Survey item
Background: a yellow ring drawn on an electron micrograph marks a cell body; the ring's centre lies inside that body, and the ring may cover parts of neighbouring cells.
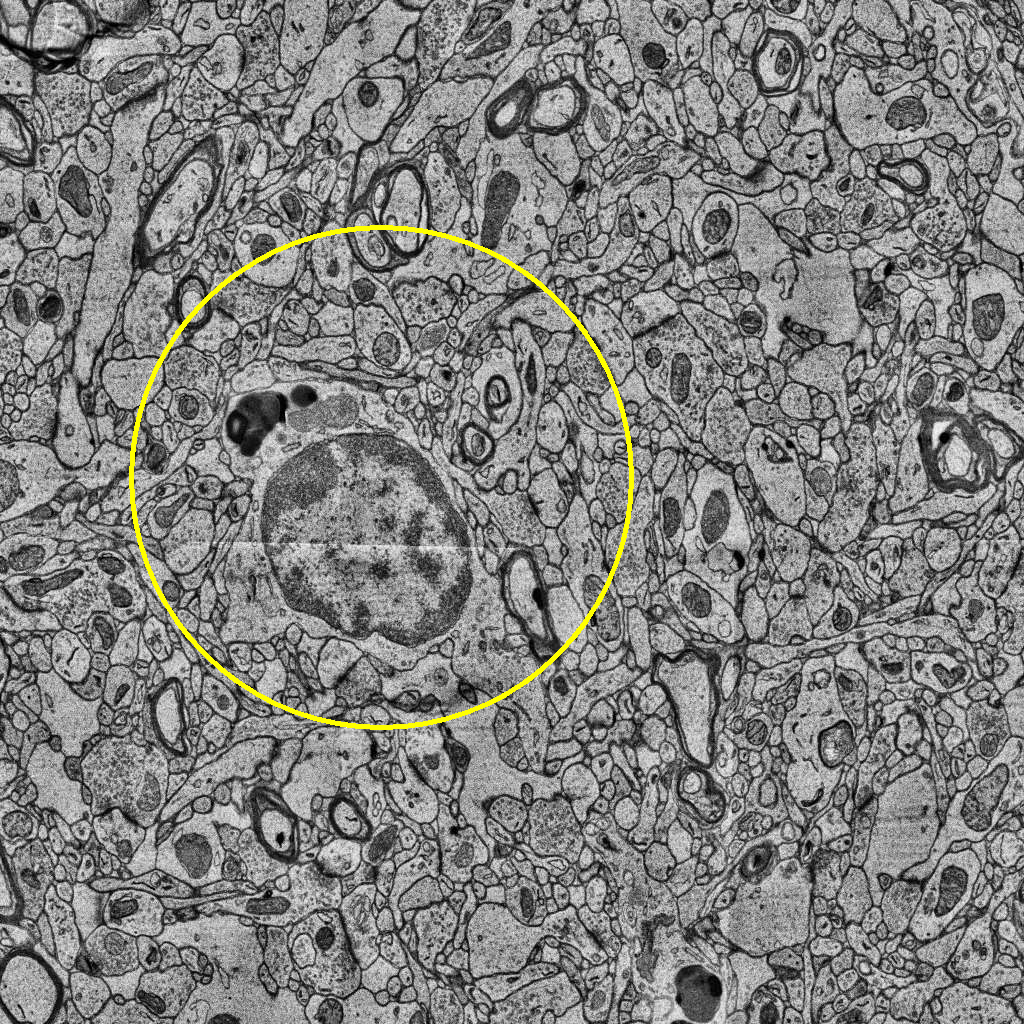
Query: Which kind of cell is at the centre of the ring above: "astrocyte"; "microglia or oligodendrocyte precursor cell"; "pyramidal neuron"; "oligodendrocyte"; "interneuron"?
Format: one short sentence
The cell in the middle of the ring is a microglial cell or oligodendrocyte precursor cell.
